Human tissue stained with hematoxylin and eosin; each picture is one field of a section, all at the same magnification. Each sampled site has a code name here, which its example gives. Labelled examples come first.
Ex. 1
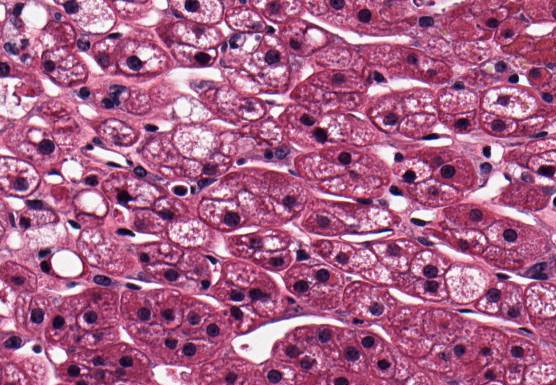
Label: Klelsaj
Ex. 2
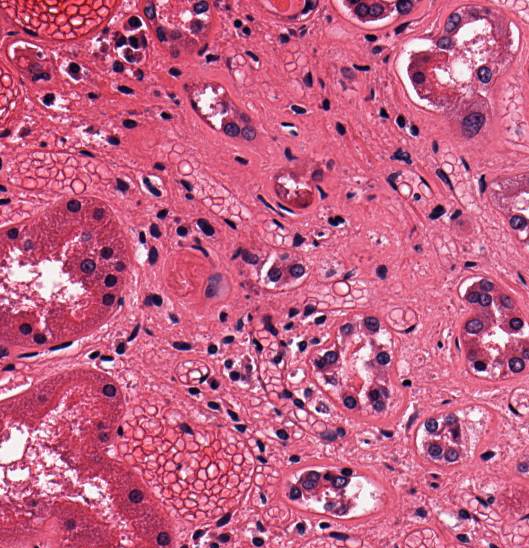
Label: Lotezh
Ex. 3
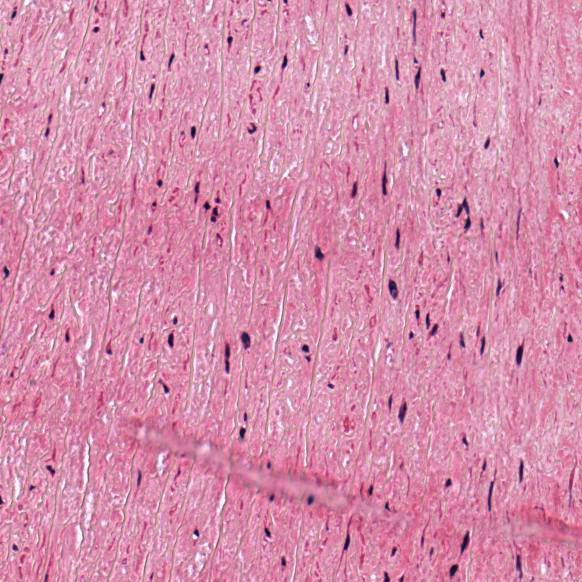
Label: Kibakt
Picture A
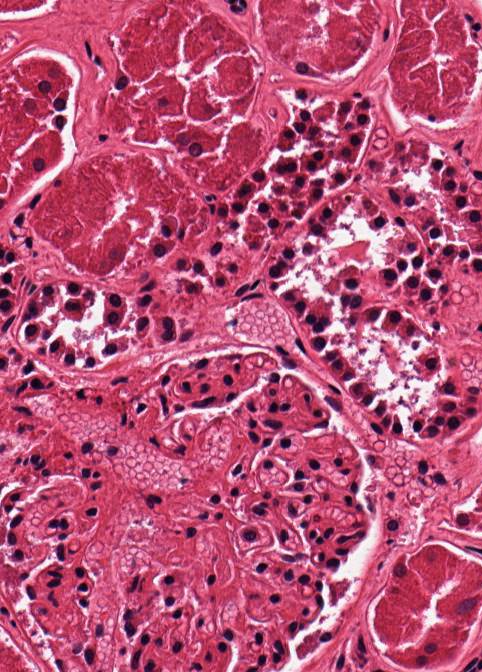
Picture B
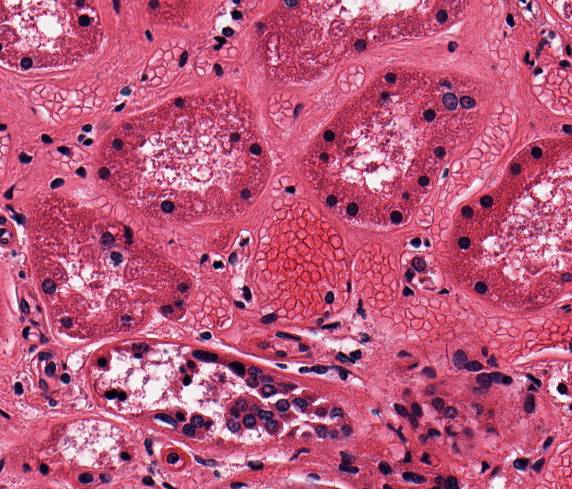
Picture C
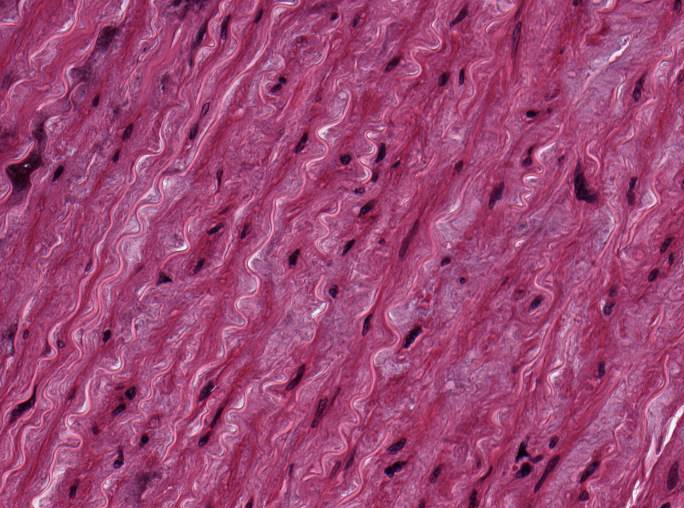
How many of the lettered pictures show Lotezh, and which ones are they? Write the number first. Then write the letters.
2, namely A, B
